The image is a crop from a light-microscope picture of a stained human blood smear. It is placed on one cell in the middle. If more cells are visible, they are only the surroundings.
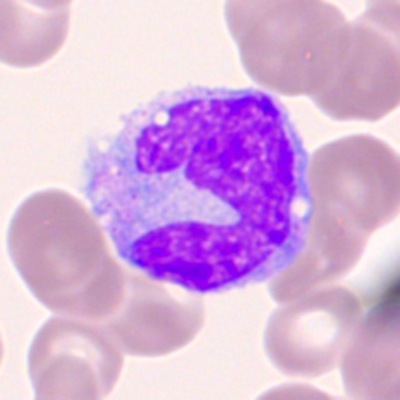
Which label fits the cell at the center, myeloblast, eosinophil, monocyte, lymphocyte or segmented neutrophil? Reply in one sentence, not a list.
The cell under consideration, at the middle of the crop, is a monocyte.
